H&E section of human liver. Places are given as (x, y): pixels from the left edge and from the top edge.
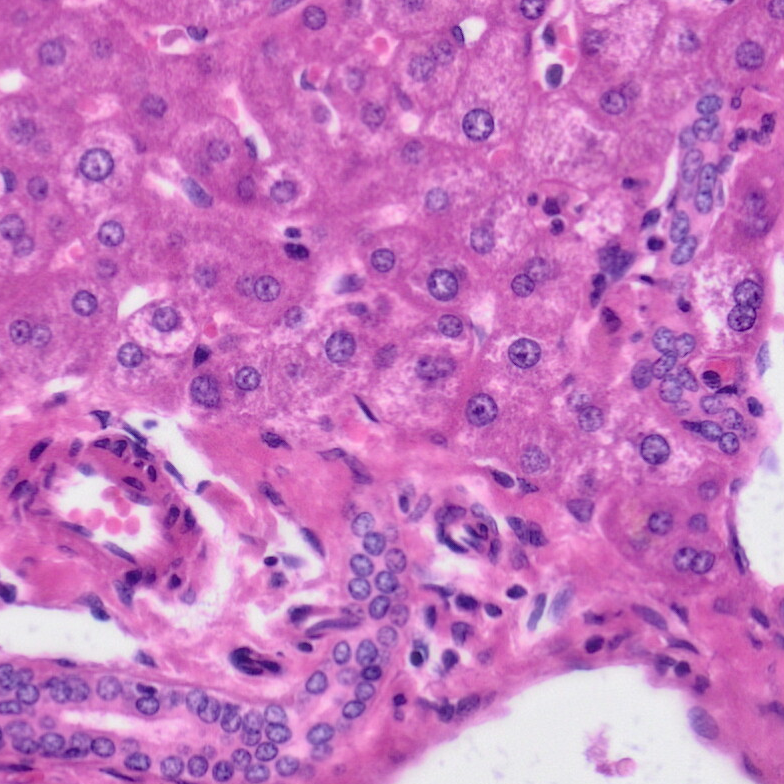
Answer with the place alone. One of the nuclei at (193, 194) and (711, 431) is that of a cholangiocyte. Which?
(711, 431)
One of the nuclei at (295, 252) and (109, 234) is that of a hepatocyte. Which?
(109, 234)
